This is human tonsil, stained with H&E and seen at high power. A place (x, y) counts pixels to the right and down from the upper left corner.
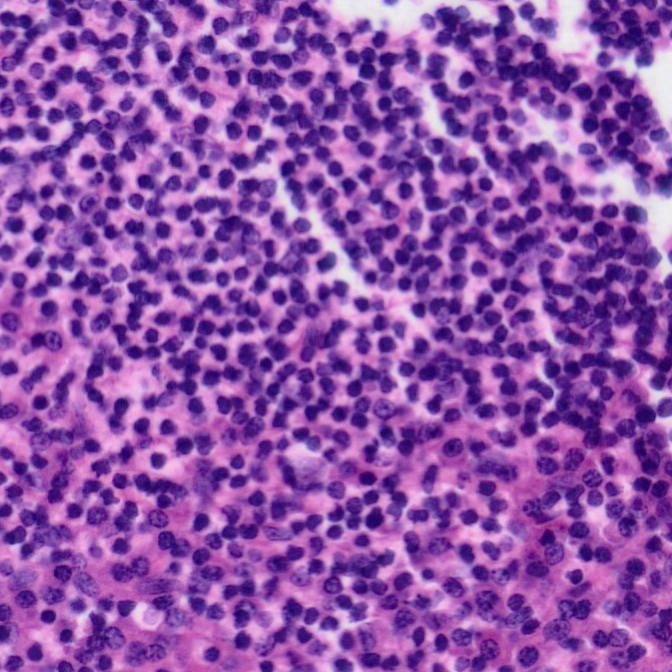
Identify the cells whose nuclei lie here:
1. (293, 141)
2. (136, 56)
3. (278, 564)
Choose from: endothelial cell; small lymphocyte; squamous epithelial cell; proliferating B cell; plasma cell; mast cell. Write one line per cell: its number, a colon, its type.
1: small lymphocyte
2: small lymphocyte
3: plasma cell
